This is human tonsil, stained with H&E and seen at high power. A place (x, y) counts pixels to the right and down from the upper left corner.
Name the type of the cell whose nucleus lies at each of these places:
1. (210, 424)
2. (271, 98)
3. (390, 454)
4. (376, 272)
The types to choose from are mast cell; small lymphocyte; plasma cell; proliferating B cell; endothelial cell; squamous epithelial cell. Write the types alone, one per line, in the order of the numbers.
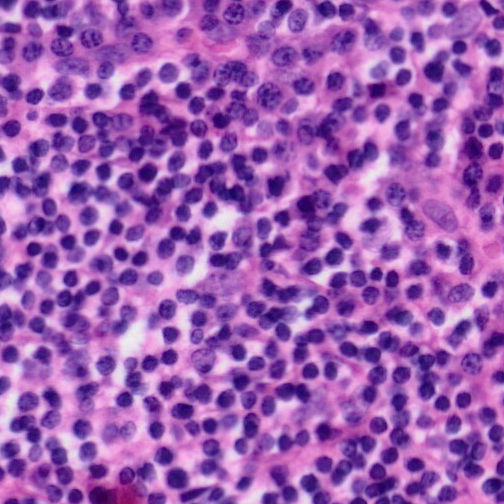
small lymphocyte
plasma cell
small lymphocyte
small lymphocyte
